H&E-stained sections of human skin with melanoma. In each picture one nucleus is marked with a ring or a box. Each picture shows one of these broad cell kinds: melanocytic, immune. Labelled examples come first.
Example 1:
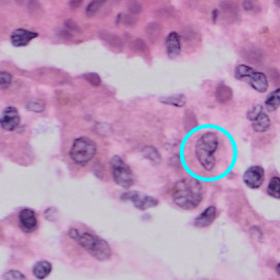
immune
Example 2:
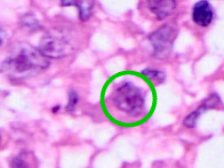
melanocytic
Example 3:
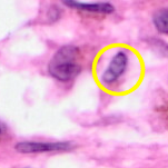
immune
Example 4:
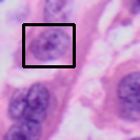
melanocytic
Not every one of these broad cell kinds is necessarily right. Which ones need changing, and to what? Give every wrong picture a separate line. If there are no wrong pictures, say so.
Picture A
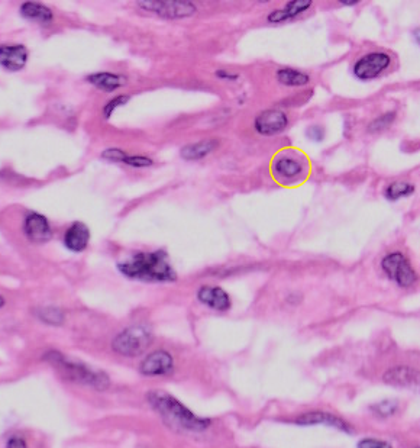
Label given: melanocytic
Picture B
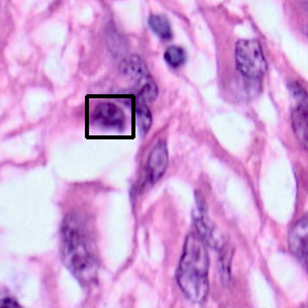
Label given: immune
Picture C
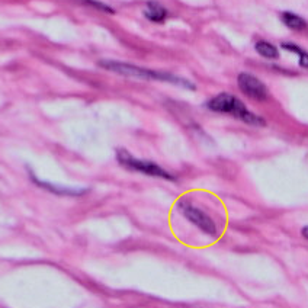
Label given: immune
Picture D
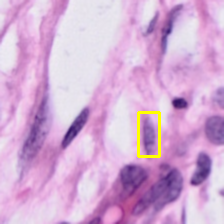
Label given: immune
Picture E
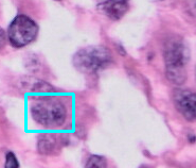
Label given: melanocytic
A is labelled melanocytic; correct label: immune
B is labelled immune; correct label: melanocytic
